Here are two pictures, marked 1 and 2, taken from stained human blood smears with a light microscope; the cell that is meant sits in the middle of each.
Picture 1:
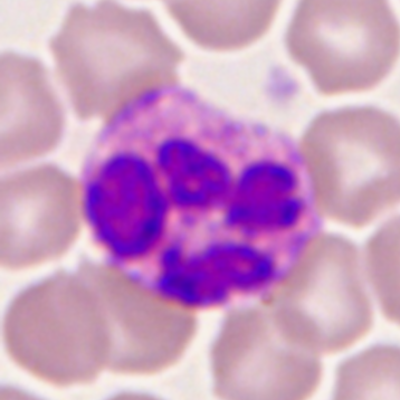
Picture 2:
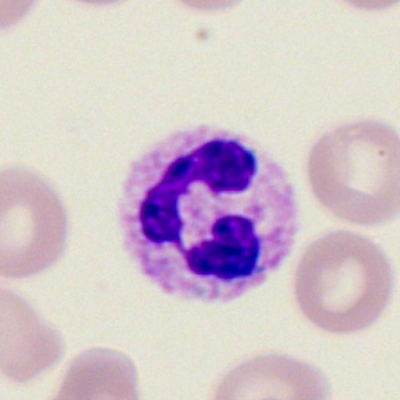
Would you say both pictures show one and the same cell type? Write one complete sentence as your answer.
No, the types are not the same, since picture 1 shows a basophil and picture 2 a segmented neutrophil.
